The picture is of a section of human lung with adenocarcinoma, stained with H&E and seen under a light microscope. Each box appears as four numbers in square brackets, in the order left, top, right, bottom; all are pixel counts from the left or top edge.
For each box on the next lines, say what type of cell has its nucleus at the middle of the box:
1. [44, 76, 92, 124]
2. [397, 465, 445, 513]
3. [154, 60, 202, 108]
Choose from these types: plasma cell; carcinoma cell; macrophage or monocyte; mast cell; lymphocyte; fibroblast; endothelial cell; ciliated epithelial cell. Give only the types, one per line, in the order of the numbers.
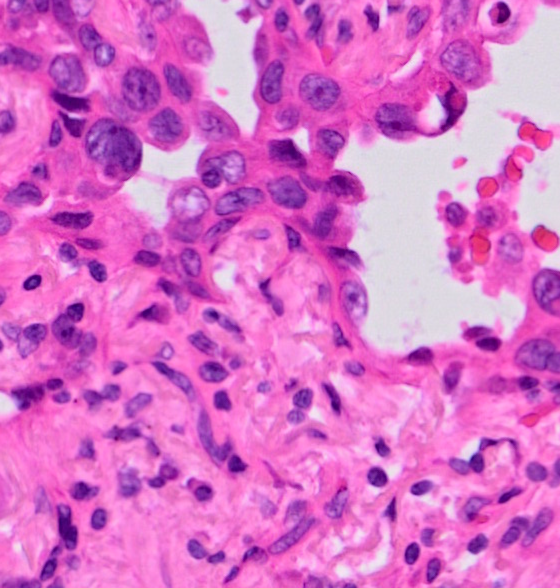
carcinoma cell
lymphocyte
carcinoma cell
